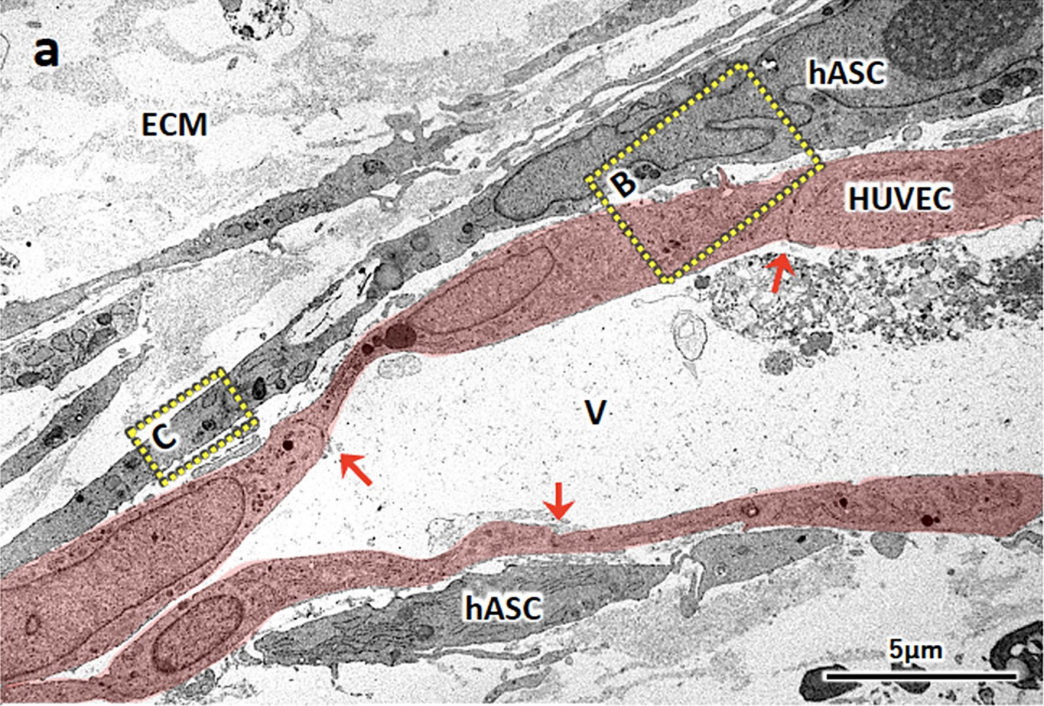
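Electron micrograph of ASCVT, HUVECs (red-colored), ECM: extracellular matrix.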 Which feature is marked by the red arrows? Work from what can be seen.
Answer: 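Interendothelial connecting junctions. The red arrows point to places along the red-tinted cell lining where the edges of neighbouring lining cells meet.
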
